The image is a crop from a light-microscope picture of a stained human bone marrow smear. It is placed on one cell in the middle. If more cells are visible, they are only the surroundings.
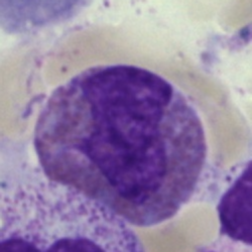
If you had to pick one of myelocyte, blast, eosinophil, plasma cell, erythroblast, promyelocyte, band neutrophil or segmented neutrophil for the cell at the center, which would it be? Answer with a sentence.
The cell at the central position in this crop is an eosinophil.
